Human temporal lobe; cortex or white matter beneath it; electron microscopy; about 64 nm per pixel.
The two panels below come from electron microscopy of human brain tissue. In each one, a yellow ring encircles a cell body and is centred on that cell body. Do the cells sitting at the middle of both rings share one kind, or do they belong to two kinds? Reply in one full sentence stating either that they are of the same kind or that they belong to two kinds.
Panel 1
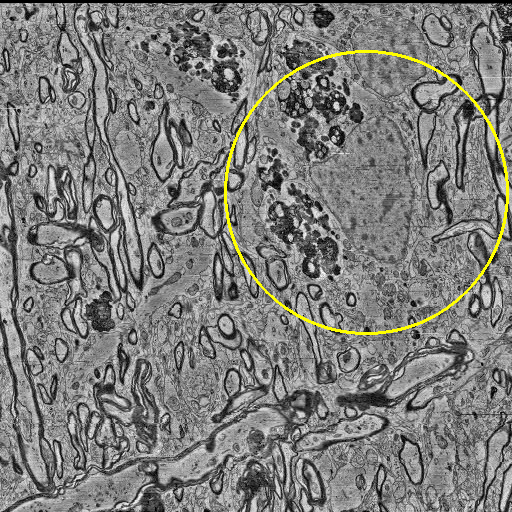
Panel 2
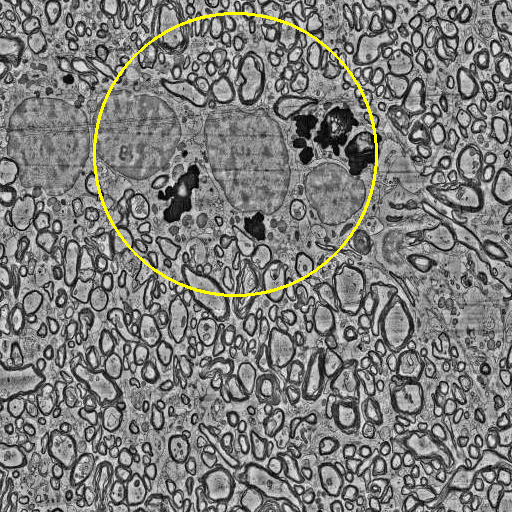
The cells at the centres of the two rings belong to two kinds.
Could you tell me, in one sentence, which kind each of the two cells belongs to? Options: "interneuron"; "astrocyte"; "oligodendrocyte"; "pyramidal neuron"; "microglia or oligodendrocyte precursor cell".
At the centre of the first ring sits an astrocyte, and at the centre of the second sits an oligodendrocyte.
